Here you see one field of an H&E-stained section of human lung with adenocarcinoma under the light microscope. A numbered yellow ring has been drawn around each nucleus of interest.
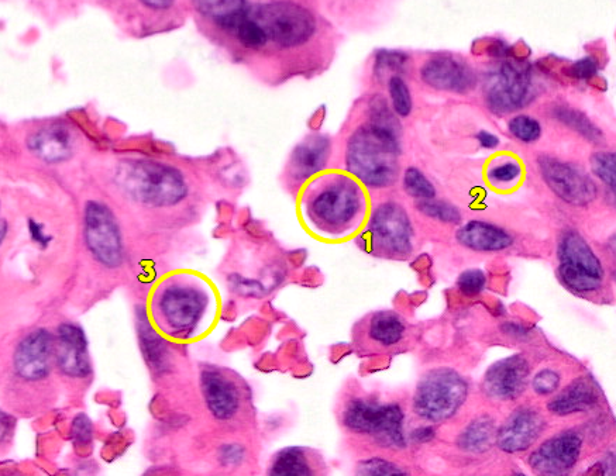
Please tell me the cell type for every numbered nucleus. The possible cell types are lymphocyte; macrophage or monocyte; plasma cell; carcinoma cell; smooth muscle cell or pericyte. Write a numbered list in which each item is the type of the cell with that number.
1. carcinoma cell
2. lymphocyte
3. carcinoma cell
